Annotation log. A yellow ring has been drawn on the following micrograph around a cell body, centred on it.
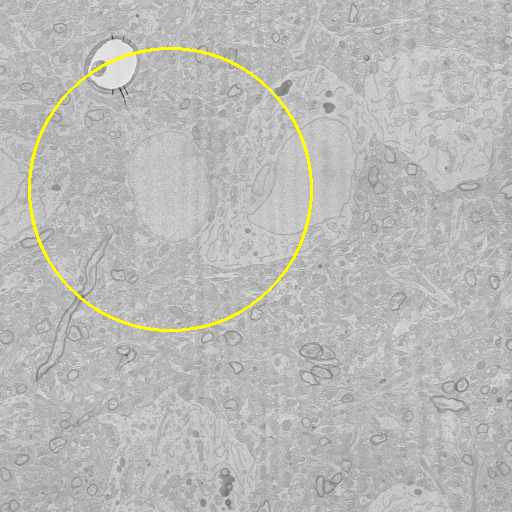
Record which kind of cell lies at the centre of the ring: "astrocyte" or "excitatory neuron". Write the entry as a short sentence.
The cell the ring is centred on is an astrocyte.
